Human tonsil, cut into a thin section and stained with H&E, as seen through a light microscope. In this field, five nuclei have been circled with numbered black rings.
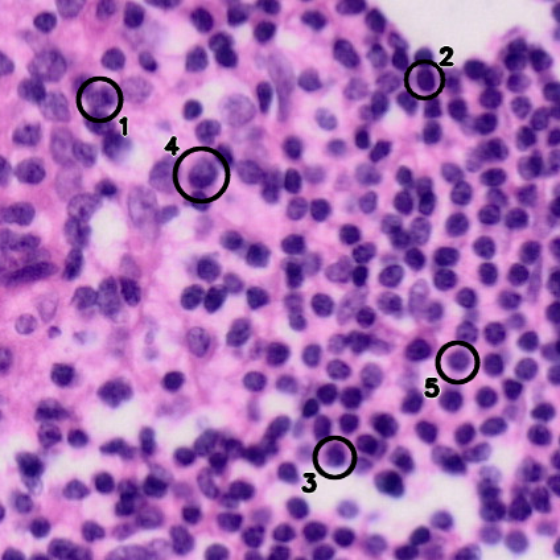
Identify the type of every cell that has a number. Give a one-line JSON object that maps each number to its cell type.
{"1": "proliferating B cell", "2": "small lymphocyte", "3": "small lymphocyte", "4": "proliferating B cell", "5": "small lymphocyte"}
